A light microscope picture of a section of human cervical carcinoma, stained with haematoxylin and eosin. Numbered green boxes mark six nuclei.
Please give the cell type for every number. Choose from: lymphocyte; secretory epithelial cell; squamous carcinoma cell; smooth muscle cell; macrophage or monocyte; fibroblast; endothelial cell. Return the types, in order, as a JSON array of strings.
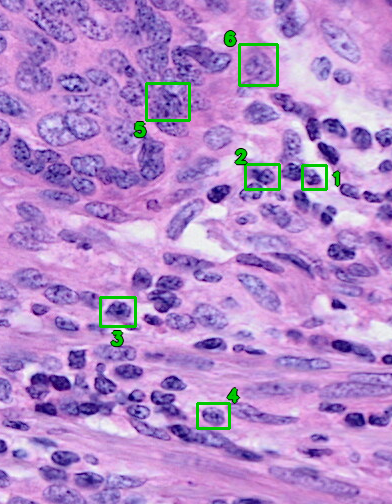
["lymphocyte", "lymphocyte", "lymphocyte", "lymphocyte", "squamous carcinoma cell", "endothelial cell"]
